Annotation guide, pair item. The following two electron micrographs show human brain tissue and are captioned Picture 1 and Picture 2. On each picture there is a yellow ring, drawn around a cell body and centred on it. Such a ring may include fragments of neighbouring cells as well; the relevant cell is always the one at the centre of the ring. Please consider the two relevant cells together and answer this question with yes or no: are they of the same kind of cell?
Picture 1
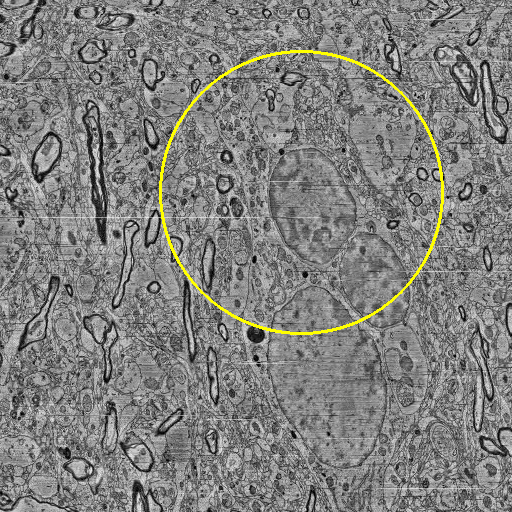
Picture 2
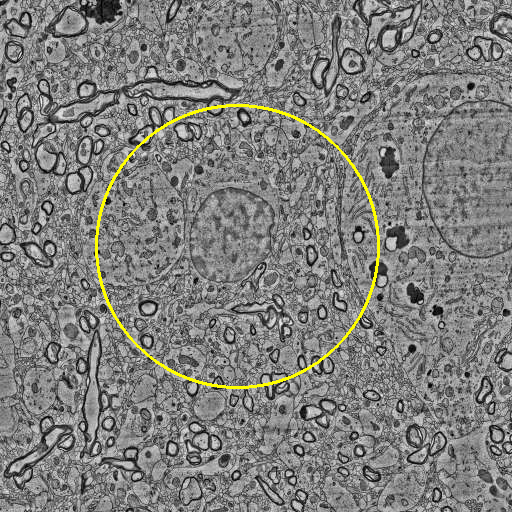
yes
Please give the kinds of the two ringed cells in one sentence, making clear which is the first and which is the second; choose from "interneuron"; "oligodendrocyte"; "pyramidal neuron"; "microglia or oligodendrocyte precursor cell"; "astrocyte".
Each of the two cells is an oligodendrocyte.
